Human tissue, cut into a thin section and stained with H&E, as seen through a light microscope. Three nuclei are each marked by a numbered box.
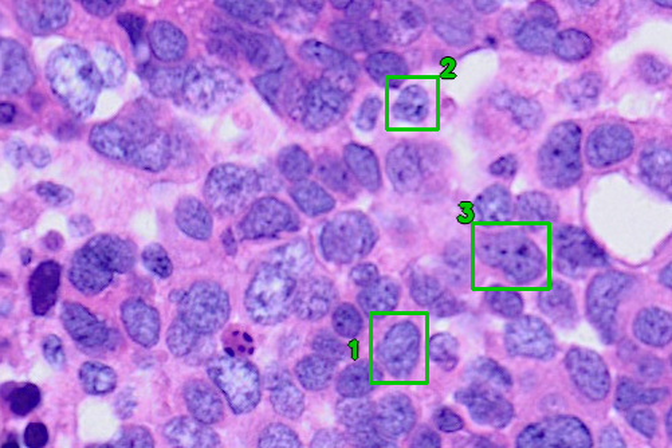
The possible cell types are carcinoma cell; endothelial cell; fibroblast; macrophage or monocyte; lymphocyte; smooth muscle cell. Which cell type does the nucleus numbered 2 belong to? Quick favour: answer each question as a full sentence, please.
Number 2 is placed on a macrophage or monocyte here.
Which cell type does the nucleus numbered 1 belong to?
The cell bearing label 1 corresponds to a carcinoma cell.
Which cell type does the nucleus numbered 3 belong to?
The nucleus with number 3 is that of a carcinoma cell.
